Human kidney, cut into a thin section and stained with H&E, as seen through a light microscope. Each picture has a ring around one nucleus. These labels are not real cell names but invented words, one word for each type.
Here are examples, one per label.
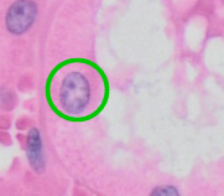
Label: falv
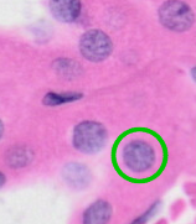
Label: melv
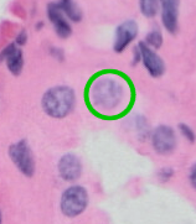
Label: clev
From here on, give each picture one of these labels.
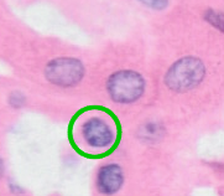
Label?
melv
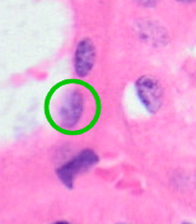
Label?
melv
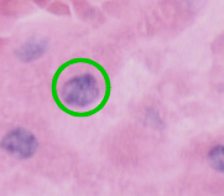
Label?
falv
